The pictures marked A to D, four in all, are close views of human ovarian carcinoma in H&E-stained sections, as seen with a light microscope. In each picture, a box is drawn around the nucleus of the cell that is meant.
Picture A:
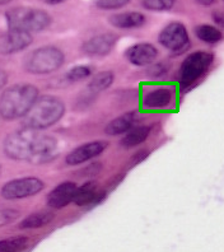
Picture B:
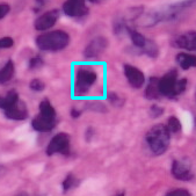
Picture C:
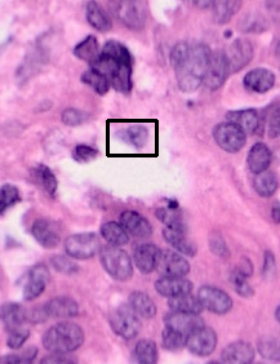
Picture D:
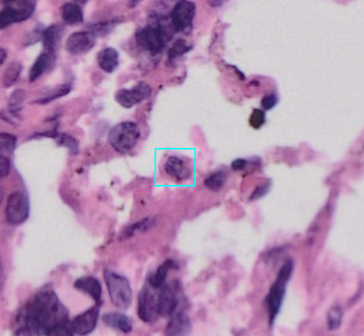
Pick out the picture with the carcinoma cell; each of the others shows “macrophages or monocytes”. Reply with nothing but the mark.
A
